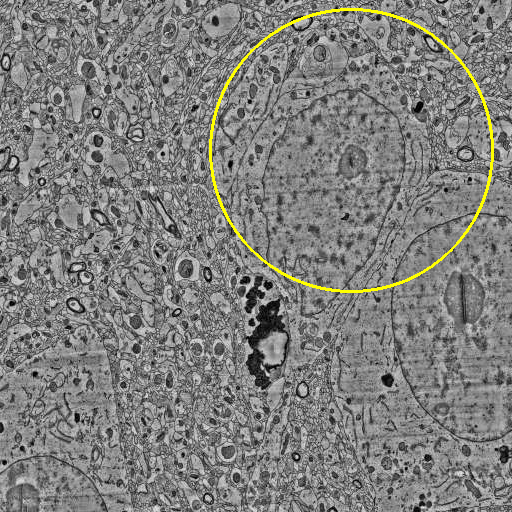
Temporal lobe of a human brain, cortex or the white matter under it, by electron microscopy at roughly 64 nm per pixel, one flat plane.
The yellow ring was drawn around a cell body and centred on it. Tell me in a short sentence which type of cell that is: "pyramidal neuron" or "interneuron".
The cell at the ring's centre is an interneuron.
